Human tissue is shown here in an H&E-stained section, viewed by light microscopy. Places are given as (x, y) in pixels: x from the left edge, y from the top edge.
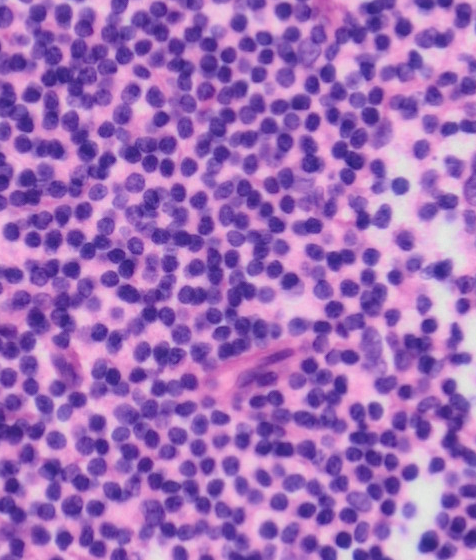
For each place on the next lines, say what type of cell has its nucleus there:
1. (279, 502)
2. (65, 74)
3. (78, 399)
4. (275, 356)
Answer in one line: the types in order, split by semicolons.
small lymphocyte; small lymphocyte; small lymphocyte; endothelial cell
